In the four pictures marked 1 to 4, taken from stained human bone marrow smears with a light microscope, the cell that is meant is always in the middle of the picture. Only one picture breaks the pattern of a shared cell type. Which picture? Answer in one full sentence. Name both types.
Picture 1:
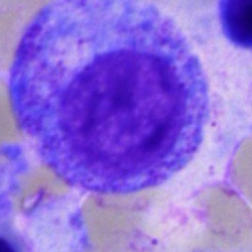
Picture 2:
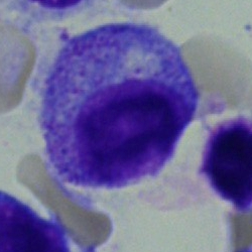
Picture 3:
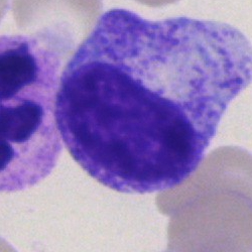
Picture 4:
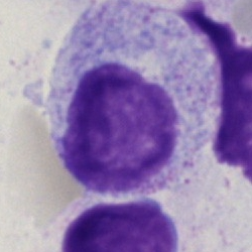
All pictures except 1 show myelocytes; picture 1 shows a promyelocyte.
